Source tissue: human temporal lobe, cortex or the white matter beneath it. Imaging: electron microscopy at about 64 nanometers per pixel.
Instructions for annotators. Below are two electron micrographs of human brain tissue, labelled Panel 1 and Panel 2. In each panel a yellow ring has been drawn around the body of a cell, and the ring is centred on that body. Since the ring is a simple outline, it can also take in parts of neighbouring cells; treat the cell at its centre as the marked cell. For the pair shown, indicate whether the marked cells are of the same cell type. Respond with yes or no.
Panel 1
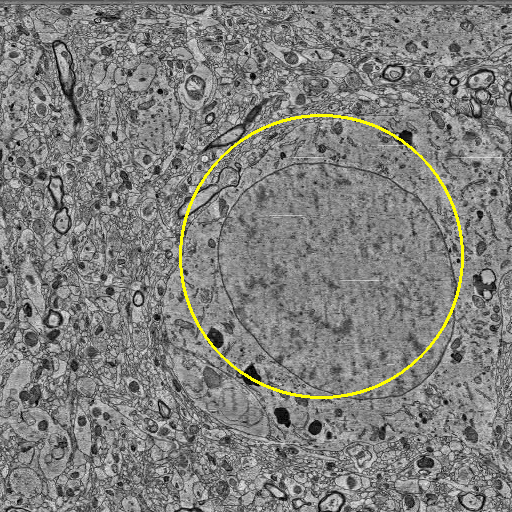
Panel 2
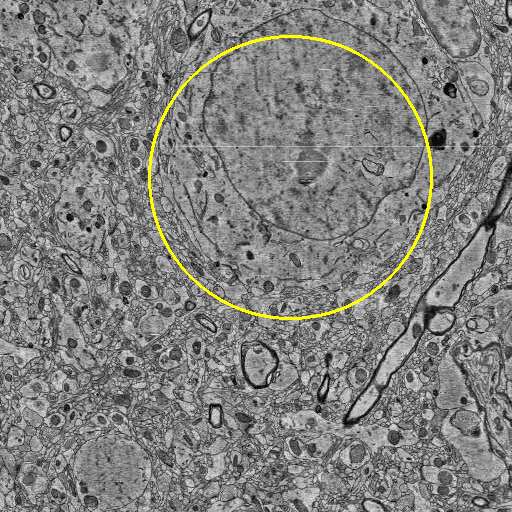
yes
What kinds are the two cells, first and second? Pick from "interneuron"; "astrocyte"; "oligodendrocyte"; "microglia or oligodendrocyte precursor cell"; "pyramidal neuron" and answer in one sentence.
Each of the two rings is centred on a pyramidal neuron.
